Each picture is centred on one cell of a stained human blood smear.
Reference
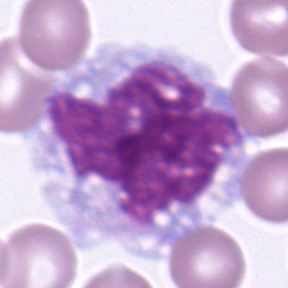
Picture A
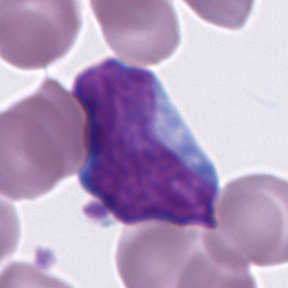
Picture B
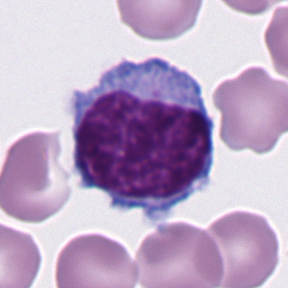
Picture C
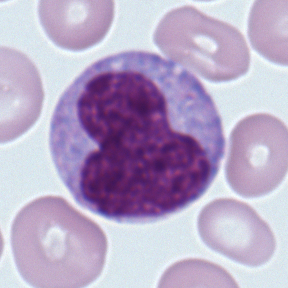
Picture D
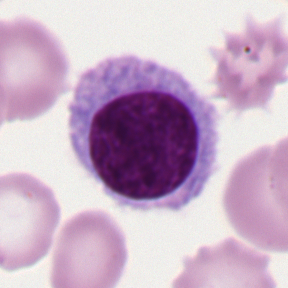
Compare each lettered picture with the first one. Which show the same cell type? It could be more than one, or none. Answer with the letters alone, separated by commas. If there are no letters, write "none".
C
